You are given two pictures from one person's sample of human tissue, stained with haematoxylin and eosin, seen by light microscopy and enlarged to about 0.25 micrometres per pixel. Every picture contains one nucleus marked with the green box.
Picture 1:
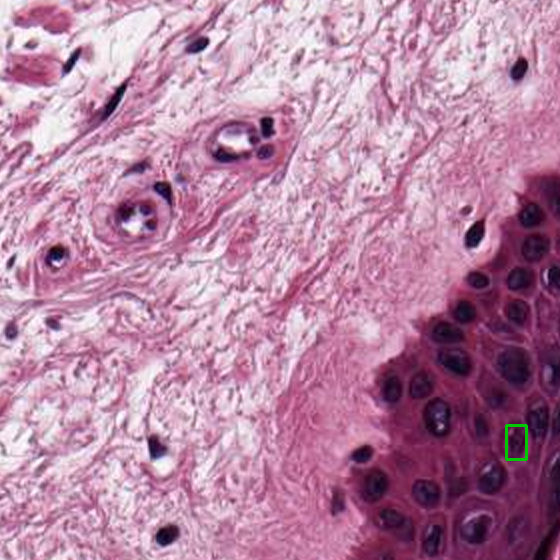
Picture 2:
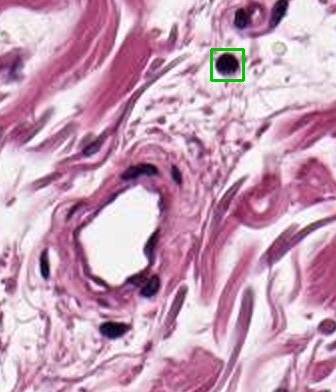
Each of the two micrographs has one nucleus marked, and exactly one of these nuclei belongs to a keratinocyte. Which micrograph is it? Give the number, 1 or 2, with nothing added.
1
